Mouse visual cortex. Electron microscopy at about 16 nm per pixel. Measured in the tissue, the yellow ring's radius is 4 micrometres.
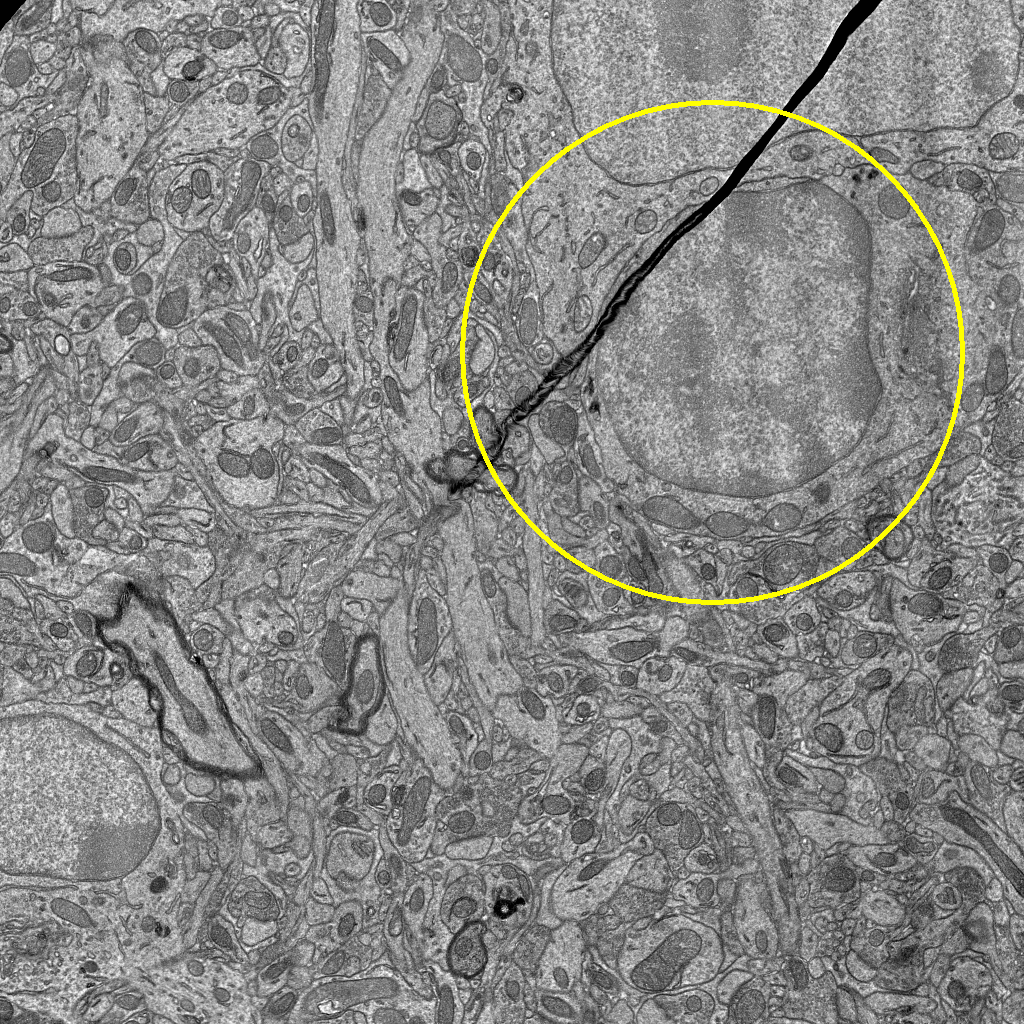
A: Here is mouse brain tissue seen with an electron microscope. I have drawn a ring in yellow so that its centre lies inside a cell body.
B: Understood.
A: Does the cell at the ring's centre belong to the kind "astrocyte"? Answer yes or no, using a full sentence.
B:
No, the cell at the centre of your yellow ring belongs to another kind.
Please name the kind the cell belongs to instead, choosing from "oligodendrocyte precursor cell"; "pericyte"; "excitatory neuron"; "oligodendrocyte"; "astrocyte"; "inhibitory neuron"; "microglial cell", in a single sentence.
Sitting at the ring centre is an oligodendrocyte.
